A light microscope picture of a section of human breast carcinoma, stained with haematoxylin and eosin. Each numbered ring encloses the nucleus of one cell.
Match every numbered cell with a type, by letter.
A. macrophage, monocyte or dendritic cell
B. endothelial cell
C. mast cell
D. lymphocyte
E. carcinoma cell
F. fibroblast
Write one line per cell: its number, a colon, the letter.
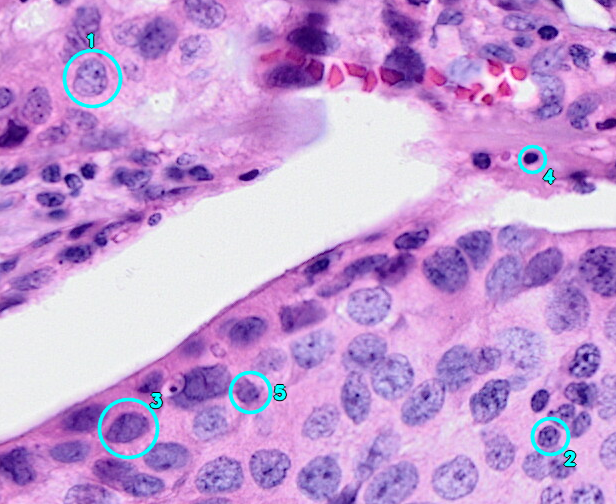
1: E
2: D
3: E
4: D
5: E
